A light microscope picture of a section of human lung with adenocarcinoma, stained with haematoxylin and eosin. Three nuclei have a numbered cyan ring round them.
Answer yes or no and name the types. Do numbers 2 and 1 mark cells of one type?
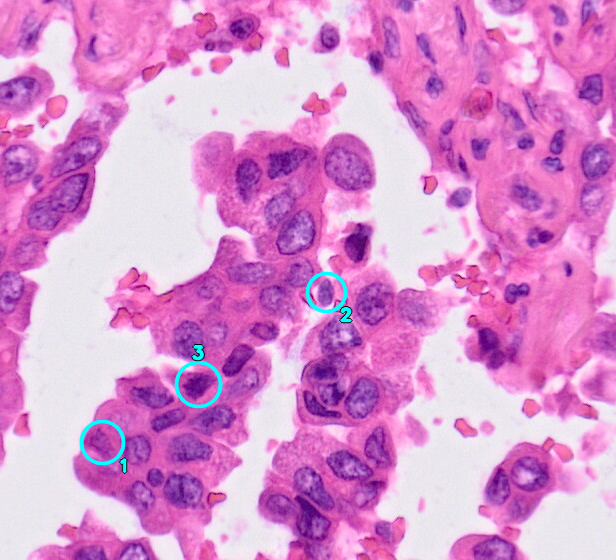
No; cell 2 is a lymphocyte, and cell 1 is a carcinoma cell.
